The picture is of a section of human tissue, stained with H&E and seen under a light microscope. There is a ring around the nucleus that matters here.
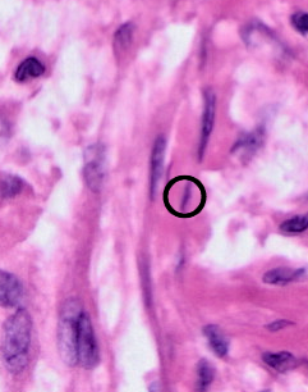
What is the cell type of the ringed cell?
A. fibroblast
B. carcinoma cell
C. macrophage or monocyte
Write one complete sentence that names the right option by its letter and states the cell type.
The accurate option is A, with the ringed cell being a fibroblast.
